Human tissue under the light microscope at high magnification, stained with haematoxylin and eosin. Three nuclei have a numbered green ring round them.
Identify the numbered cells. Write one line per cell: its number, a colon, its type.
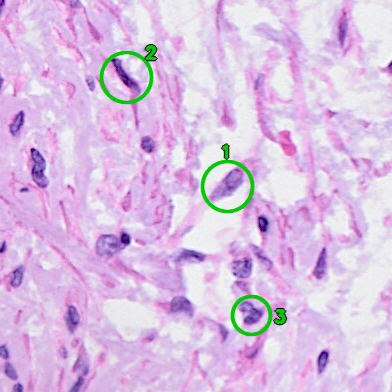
1: endothelial cell
2: fibroblast
3: macrophage or monocyte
